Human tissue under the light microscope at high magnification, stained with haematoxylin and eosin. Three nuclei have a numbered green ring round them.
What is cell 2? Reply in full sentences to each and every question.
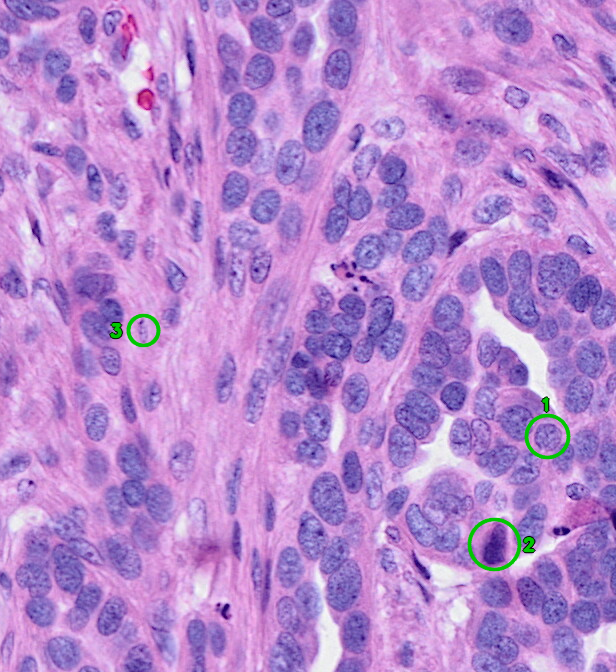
The cell bearing label 2 corresponds to a carcinoma cell.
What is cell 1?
In this section, the cell numbered 1 is a carcinoma cell.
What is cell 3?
Cell 3 is classified as a fibroblast.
